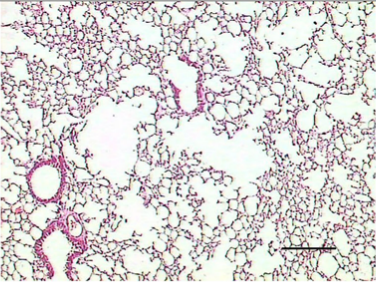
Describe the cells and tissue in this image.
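This is lung parenchyma stained pink and purple, made of thin alveolar walls with scattered small nuclei. Near the centre a large irregular space forms where walls are missing, surrounded by smaller alveoli. A few airways with thicker pink walls appear at the left edge.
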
